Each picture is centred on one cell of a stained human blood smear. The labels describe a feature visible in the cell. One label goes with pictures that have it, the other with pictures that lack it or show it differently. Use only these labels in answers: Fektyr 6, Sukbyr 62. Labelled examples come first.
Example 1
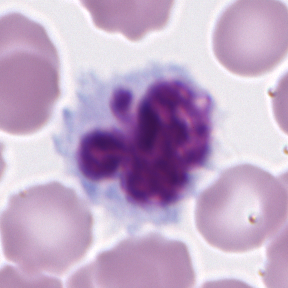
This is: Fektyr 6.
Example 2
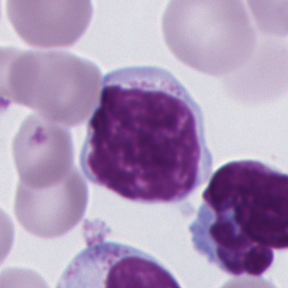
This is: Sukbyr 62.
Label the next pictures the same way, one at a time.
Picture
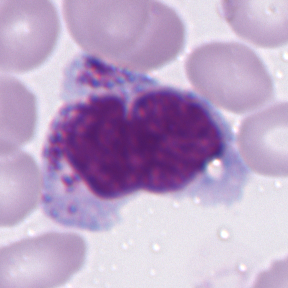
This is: Fektyr 6.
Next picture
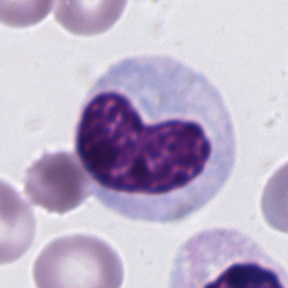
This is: Sukbyr 62.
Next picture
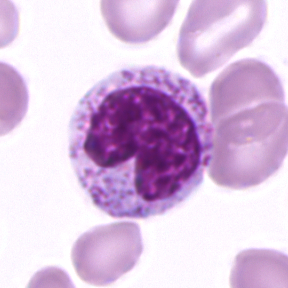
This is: Sukbyr 62.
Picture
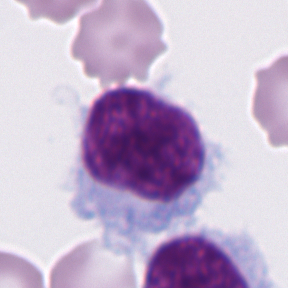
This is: Sukbyr 62.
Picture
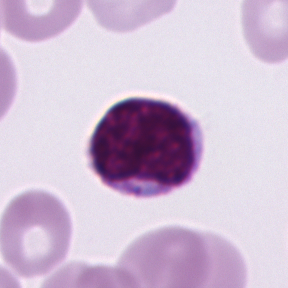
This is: Sukbyr 62.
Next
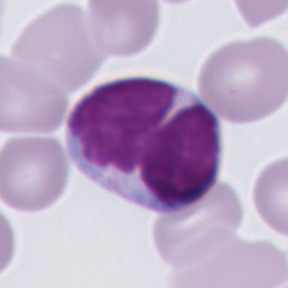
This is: Fektyr 6.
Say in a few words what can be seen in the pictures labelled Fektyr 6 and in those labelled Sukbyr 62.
Fektyr 6, lobed nucleus; Sukbyr 62, single compact nucleus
